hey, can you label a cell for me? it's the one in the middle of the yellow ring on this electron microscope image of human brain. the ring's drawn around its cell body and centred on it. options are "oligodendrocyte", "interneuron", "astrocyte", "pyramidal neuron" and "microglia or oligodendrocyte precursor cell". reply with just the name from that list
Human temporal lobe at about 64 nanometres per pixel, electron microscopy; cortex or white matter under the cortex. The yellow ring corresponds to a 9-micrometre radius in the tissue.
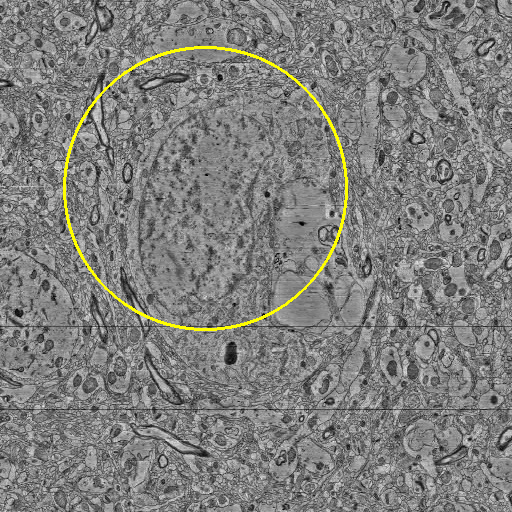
interneuron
